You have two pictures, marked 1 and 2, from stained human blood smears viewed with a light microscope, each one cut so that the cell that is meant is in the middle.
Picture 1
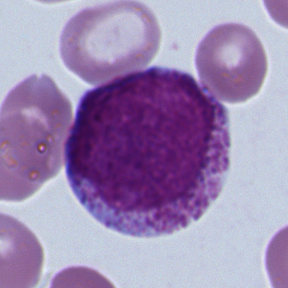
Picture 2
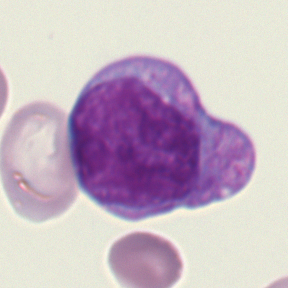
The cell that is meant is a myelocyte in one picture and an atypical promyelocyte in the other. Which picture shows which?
1: myelocyte
2: atypical promyelocyte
